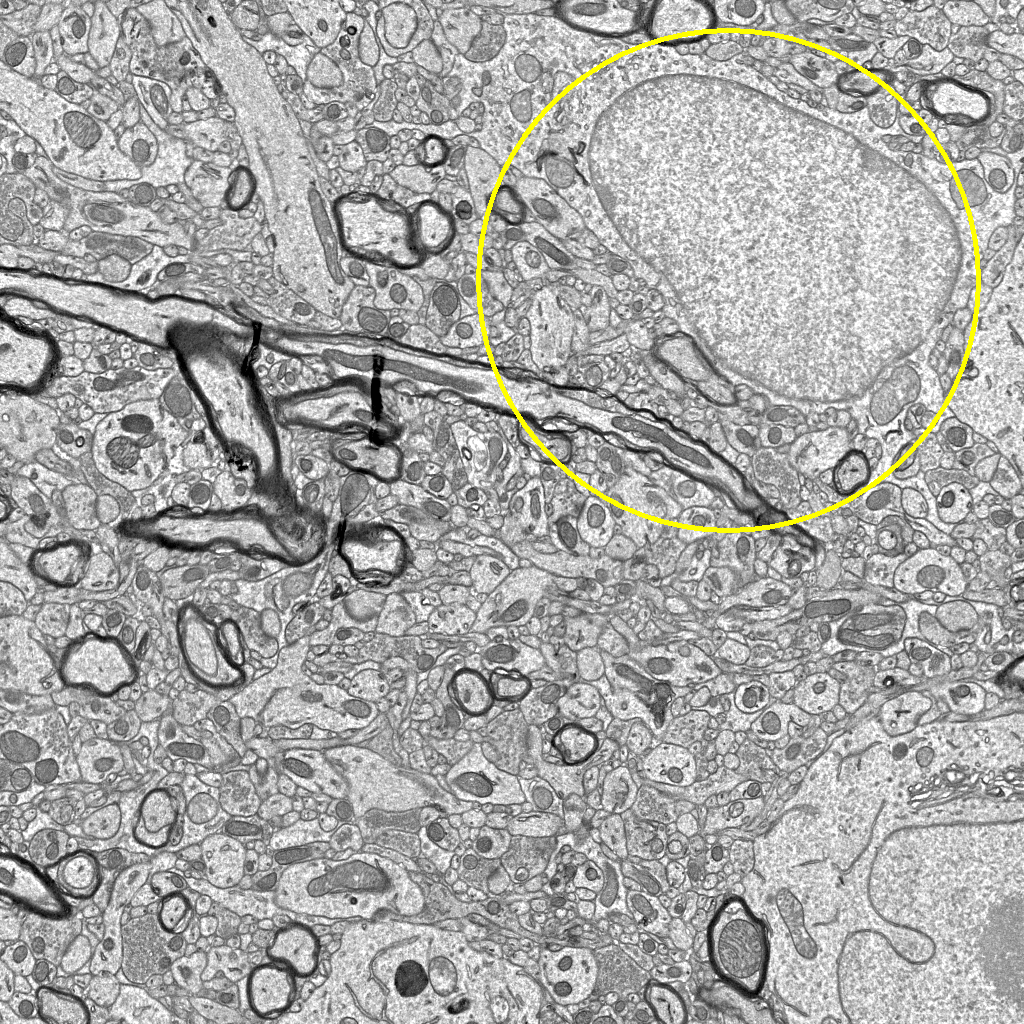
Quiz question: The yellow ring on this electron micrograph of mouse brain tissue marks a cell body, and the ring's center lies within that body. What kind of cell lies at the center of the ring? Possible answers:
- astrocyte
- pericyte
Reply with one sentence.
The ring's center lies on an astrocyte.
